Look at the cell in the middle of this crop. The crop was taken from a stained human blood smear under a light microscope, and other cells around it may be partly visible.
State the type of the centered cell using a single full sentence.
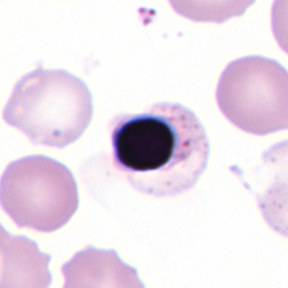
In the central position of this crop, the cell is an erythroblast.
